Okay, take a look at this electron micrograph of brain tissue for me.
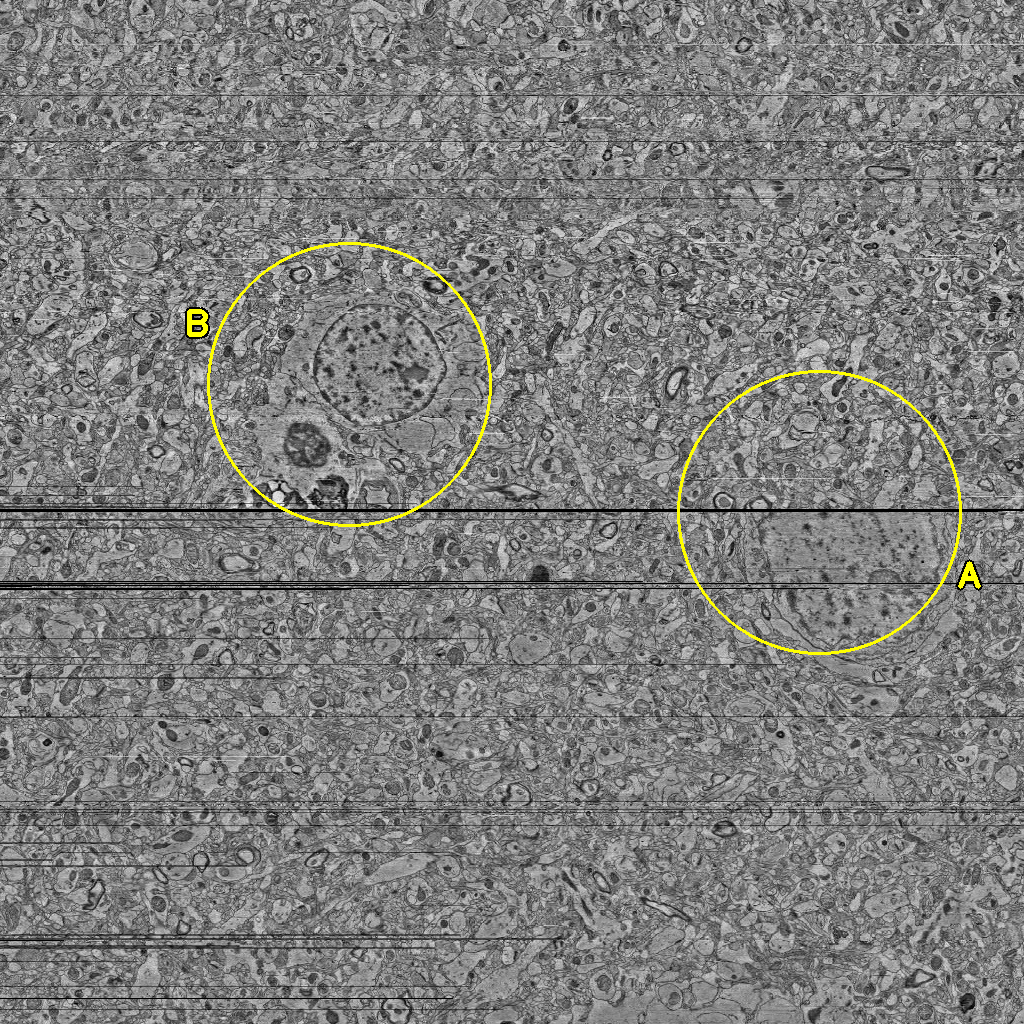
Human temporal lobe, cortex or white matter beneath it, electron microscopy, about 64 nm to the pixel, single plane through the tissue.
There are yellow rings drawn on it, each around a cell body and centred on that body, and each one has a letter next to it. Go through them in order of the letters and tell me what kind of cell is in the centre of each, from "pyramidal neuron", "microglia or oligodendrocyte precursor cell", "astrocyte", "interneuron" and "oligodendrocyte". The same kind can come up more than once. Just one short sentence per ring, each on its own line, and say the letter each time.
In the centre of ring A there's an interneuron.
In the centre of ring B there's an astrocyte.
